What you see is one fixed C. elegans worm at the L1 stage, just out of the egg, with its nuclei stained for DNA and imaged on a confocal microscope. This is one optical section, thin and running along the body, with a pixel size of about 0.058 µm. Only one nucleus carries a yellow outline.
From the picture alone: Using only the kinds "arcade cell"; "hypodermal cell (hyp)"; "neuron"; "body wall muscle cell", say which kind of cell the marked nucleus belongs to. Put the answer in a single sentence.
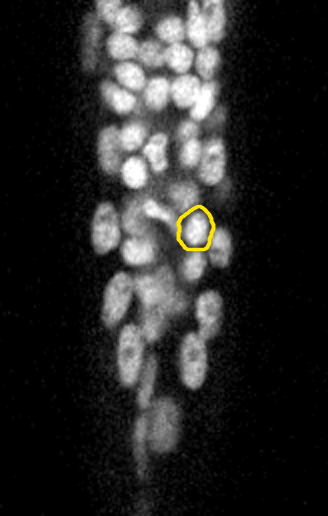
This is the nucleus of an arcade cell.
